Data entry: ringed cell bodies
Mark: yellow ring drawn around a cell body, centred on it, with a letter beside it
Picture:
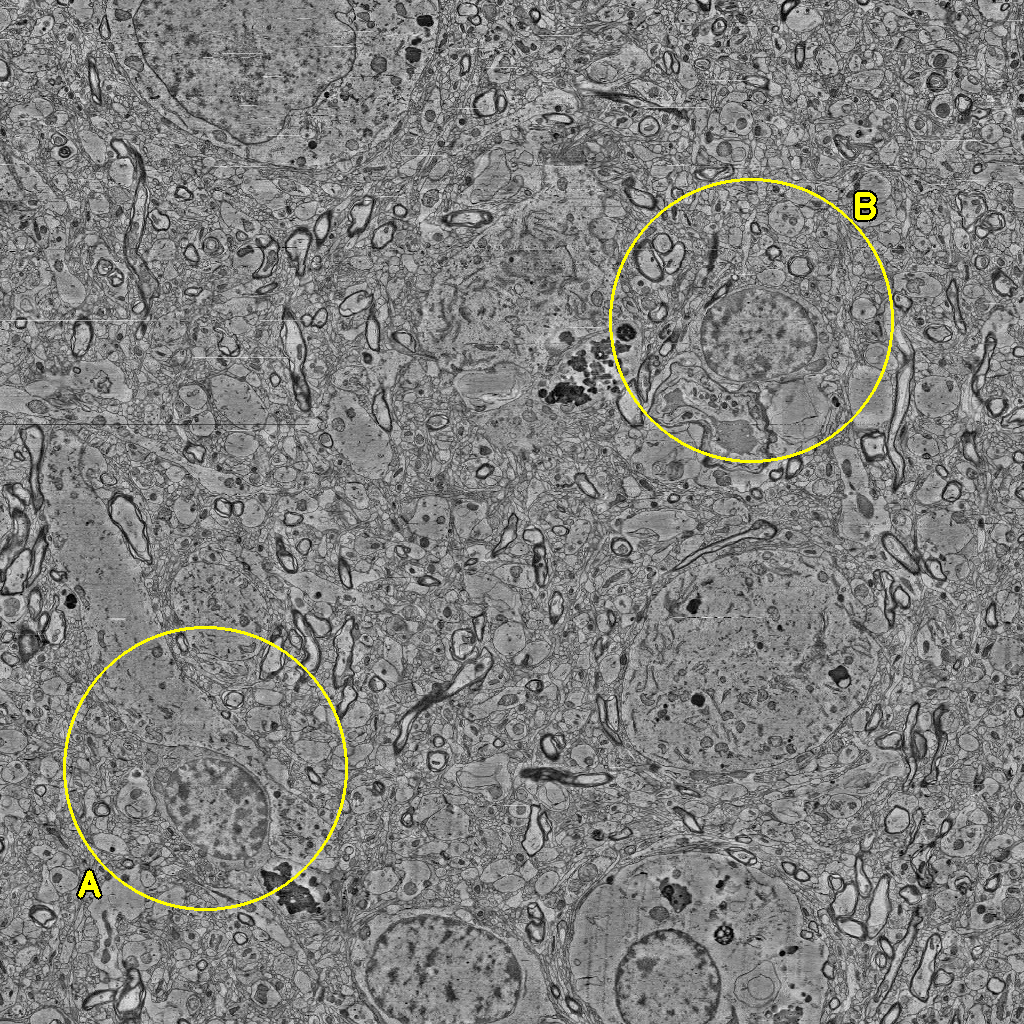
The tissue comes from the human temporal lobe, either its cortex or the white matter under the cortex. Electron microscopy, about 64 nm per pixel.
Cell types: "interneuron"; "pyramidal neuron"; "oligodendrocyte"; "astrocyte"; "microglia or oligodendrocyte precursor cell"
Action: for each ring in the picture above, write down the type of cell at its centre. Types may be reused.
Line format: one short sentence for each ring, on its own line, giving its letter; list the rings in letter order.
For ring A, the cell at the centre is an oligodendrocyte.
For ring B, the cell at the centre is an oligodendrocyte.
